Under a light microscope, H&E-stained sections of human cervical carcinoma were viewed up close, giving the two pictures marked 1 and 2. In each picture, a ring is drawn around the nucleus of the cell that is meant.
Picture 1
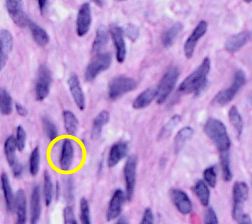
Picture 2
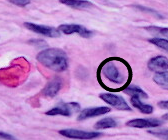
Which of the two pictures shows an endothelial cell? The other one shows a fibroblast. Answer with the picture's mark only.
2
